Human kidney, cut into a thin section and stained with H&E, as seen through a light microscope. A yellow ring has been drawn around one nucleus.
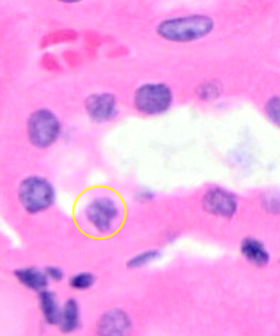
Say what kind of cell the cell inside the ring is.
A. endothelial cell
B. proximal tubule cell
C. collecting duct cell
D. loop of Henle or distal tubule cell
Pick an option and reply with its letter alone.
D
